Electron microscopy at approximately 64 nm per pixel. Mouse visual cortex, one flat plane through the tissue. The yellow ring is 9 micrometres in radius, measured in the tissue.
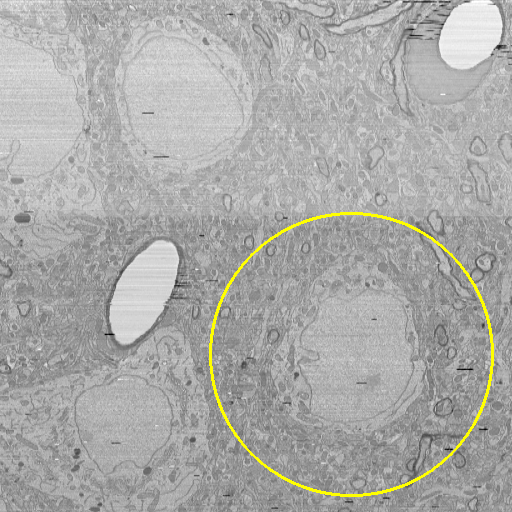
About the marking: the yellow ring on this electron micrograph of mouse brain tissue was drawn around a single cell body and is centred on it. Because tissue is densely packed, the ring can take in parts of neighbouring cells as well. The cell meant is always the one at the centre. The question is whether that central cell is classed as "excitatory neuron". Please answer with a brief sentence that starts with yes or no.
Yes, the central cell is classed that way.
